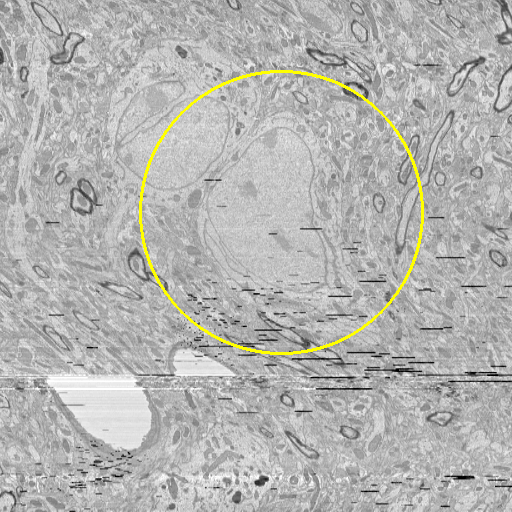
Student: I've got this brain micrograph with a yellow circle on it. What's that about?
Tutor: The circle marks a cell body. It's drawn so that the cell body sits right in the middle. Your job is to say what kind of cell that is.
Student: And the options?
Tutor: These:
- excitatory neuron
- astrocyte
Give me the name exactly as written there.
excitatory neuron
